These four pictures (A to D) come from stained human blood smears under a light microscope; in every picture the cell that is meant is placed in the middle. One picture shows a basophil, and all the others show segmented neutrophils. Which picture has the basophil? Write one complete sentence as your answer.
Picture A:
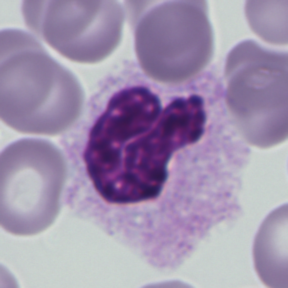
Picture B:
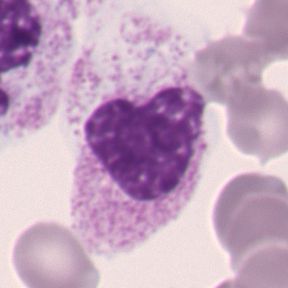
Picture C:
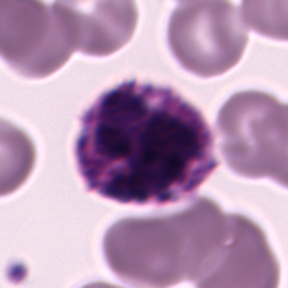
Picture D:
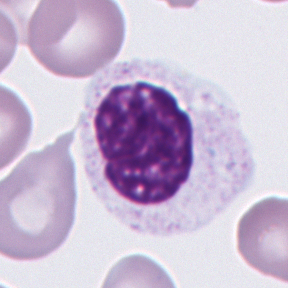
Picture C is the one that shows the basophil.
